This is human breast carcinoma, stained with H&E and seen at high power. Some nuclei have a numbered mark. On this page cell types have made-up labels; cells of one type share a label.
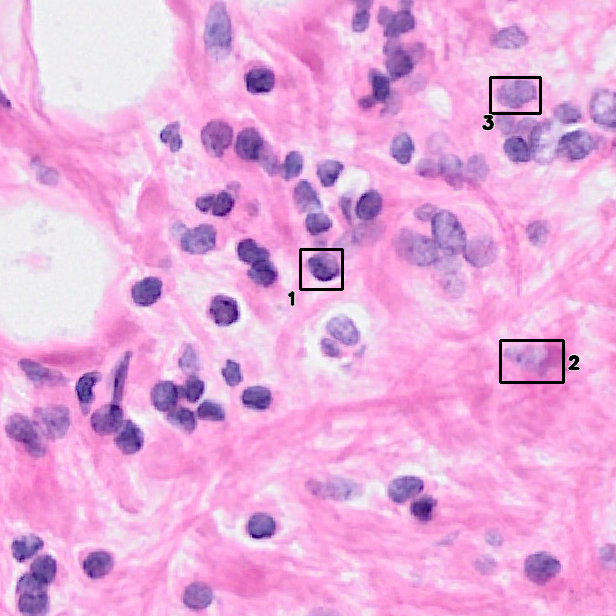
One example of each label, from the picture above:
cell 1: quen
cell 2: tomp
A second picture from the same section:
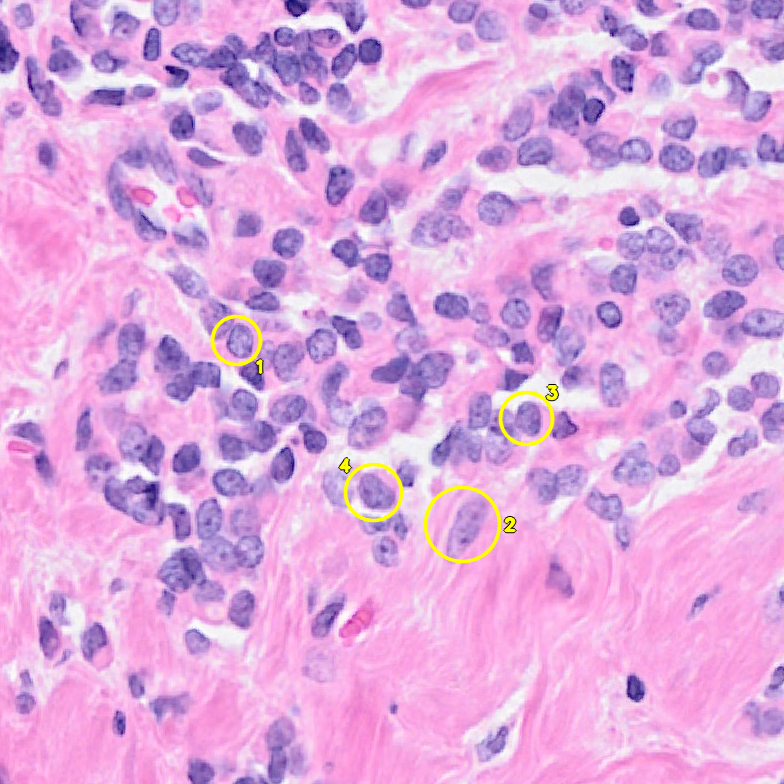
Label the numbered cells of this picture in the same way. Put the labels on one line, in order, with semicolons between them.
quen; tomp; quen; quen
